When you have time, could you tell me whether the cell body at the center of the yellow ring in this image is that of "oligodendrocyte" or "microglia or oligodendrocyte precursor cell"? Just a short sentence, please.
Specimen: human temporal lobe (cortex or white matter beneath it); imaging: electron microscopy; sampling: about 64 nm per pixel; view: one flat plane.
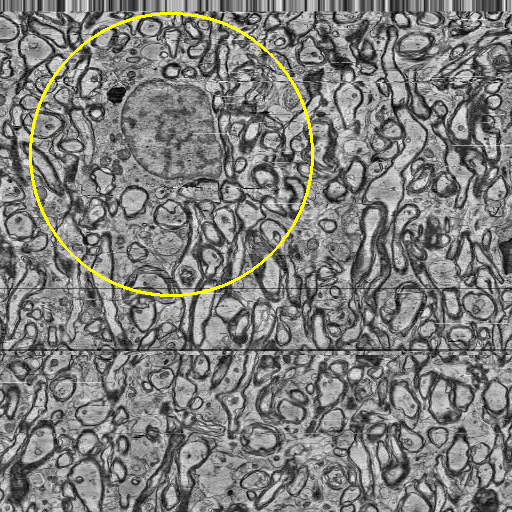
The cell body at the center of the ring is that of an oligodendrocyte.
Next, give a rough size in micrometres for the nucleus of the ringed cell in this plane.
The ringed cell's nucleus measures approximately 8 by 6 micrometres in this plane.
